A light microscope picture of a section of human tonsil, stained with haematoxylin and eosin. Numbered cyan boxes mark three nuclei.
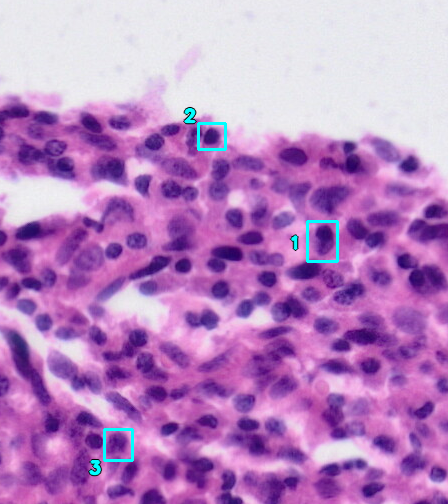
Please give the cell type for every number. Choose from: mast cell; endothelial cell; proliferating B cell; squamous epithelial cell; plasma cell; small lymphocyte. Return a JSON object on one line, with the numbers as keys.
{"1": "squamous epithelial cell", "2": "plasma cell", "3": "squamous epithelial cell"}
